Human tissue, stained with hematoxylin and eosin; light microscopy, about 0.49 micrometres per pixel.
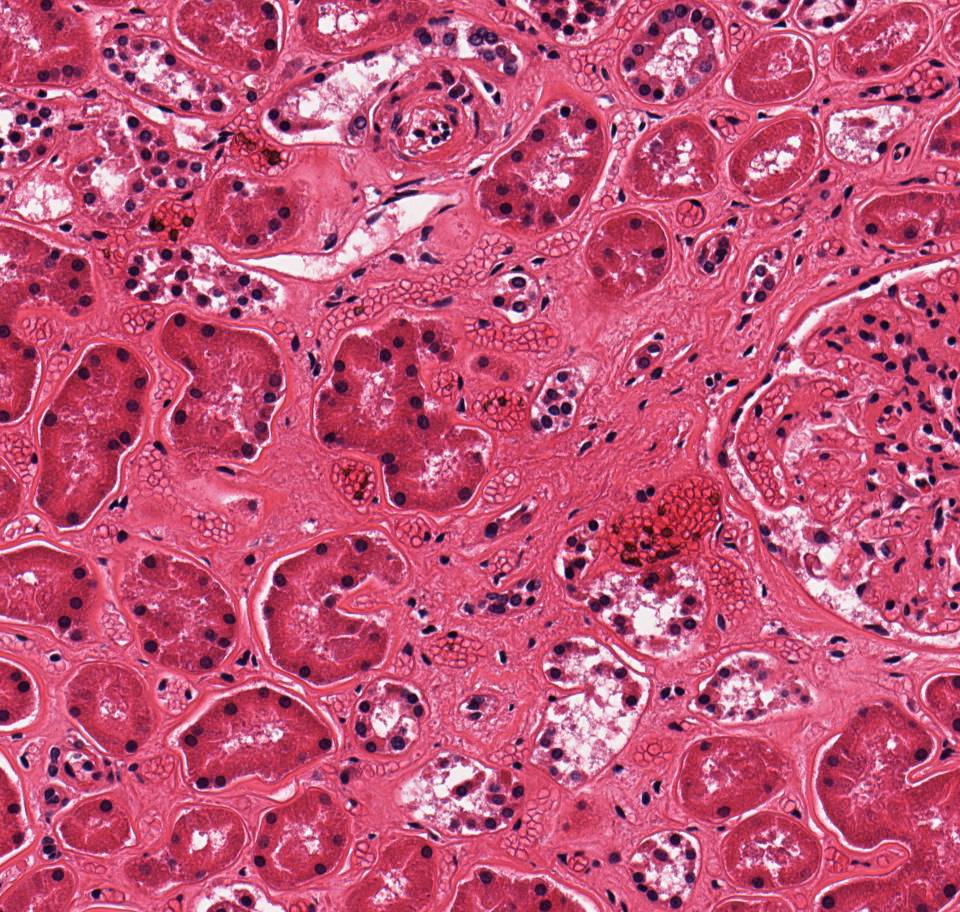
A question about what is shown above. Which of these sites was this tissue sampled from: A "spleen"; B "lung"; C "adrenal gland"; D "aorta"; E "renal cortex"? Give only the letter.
E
